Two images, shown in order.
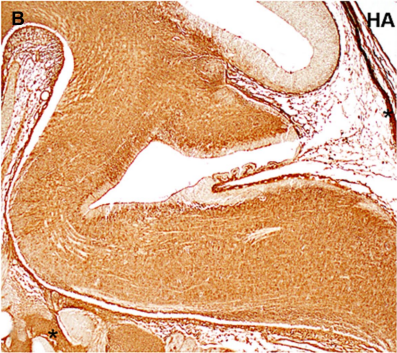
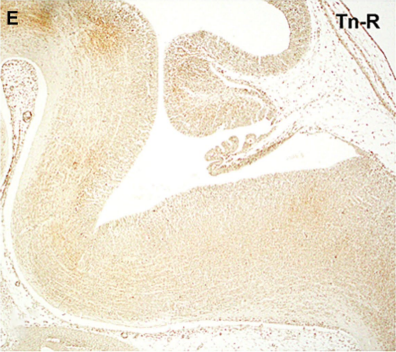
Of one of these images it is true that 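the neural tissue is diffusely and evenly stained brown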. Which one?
The first image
